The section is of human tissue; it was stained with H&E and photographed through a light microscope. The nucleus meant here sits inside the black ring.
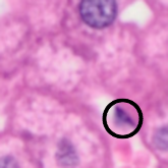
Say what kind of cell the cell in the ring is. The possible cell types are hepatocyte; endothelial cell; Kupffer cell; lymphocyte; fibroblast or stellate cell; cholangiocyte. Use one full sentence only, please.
On this particular slide, the cell in the ring is an endothelial cell.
